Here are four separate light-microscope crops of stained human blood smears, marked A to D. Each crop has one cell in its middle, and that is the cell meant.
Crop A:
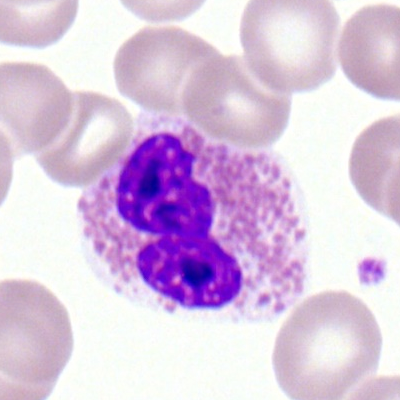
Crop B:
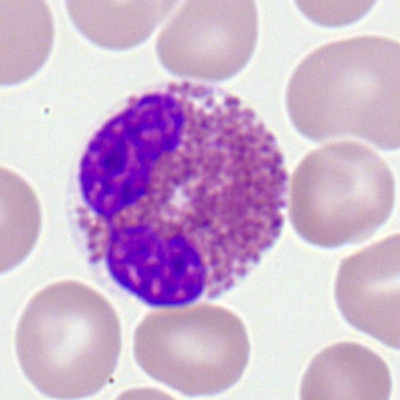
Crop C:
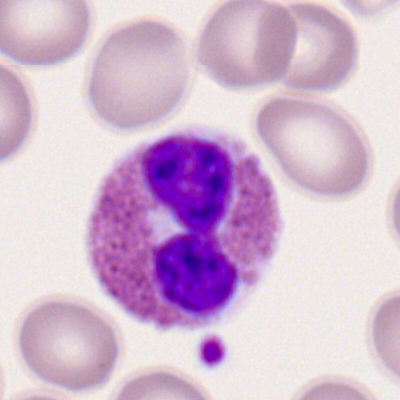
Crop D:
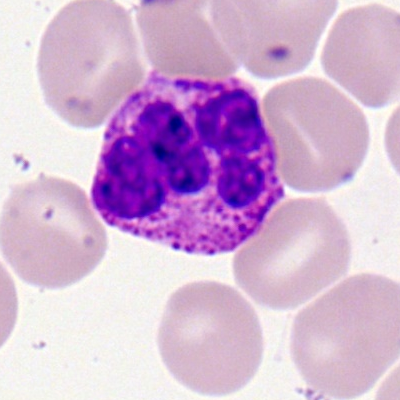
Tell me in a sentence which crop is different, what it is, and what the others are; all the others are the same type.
There is a basophil in crop D, while all the other crops show eosinophils.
